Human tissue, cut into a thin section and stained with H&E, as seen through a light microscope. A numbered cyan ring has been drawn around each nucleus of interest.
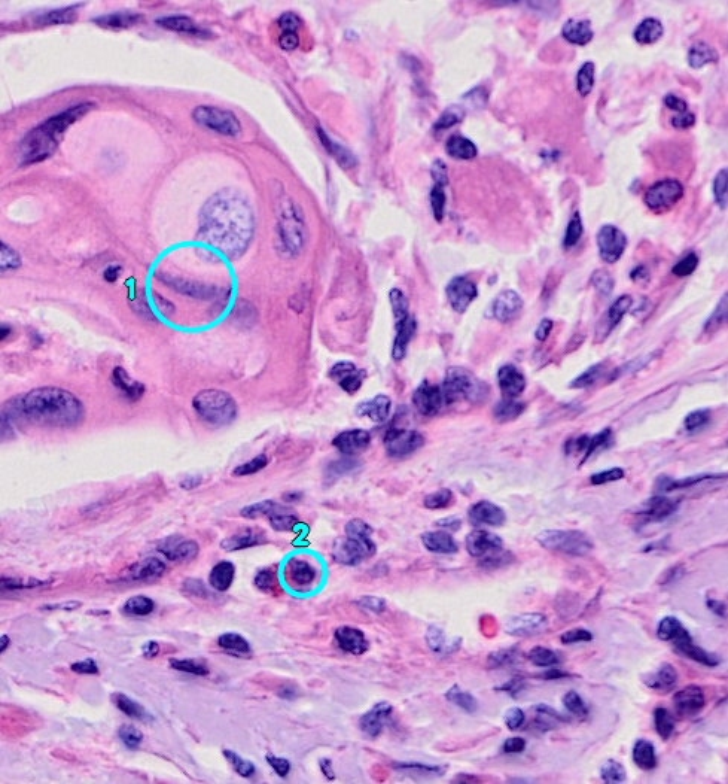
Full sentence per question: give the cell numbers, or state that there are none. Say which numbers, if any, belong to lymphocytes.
Among the marked cells, a lymphocyte is found only at number 2.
